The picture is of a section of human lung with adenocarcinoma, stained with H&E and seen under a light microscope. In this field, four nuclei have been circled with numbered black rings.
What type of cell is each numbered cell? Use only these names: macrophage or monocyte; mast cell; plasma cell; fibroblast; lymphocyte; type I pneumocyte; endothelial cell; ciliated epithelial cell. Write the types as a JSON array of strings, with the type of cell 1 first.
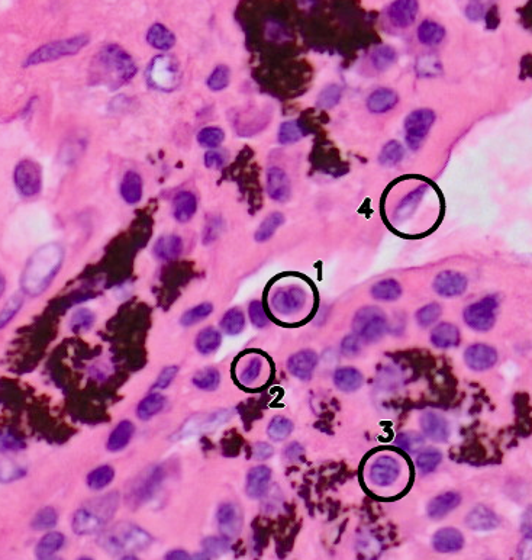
["lymphocyte", "lymphocyte", "lymphocyte", "endothelial cell"]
